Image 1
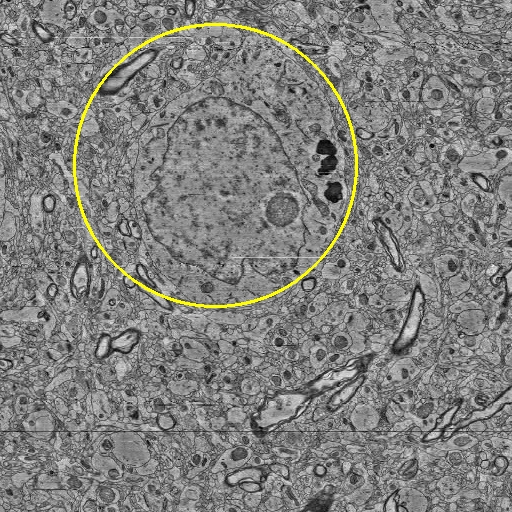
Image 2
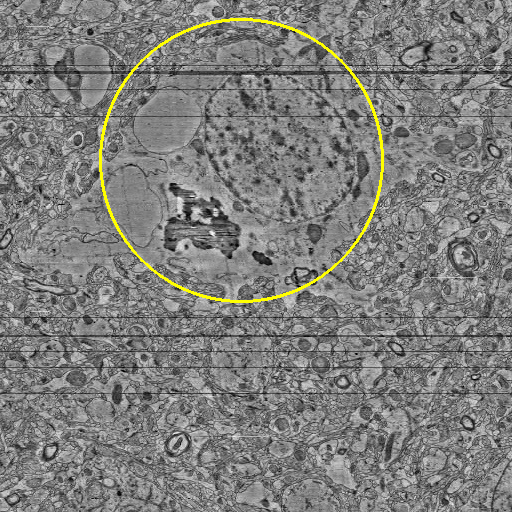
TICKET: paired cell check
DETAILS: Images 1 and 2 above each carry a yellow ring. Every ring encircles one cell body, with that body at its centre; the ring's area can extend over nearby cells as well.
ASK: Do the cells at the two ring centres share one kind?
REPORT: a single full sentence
No, the ring-centre cells of Images 1 and 2 belong to two kinds.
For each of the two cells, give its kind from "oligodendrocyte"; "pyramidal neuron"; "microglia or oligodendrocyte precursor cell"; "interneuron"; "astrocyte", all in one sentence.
The first picture has a pyramidal neuron in its ring, the second has an astrocyte.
